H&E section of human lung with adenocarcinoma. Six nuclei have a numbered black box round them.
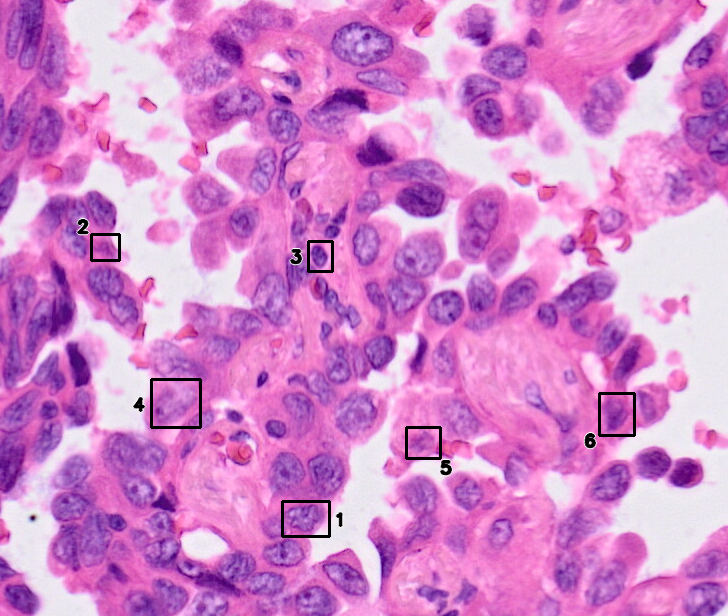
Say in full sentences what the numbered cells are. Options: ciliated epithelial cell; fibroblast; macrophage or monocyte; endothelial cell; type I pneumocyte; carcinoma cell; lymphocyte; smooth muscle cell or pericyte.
Cell 1 is a carcinoma cell, cell 2 is a carcinoma cell, cell 3 is a lymphocyte, cell 4 is a carcinoma cell, cell 5 is a macrophage or monocyte and cell 6 is a carcinoma cell.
